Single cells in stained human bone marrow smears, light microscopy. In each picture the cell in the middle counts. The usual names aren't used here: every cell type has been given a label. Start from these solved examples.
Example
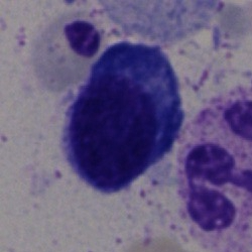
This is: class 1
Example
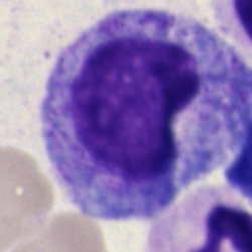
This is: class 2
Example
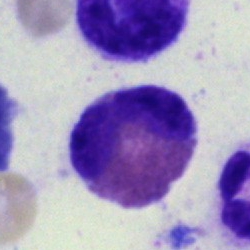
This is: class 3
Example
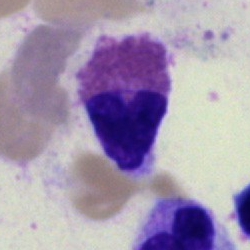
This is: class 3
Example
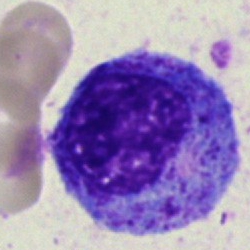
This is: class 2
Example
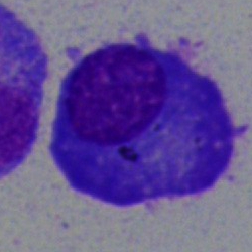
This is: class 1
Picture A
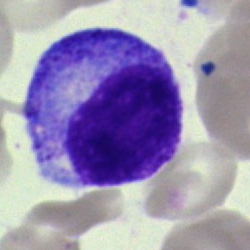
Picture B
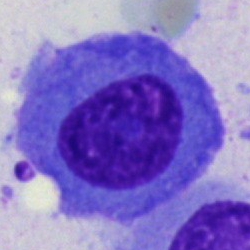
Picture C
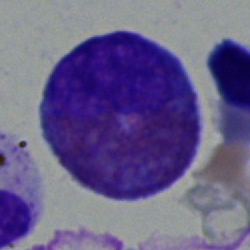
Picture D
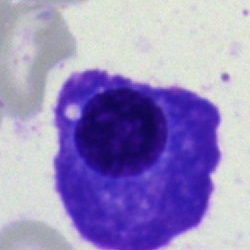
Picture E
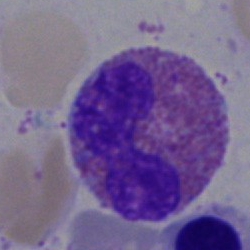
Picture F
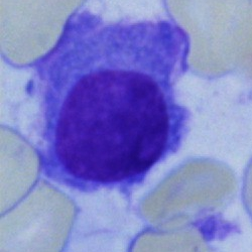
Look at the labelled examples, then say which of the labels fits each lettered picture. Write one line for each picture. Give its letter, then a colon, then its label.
A: class 2
B: class 1
C: class 3
D: class 1
E: class 3
F: class 1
